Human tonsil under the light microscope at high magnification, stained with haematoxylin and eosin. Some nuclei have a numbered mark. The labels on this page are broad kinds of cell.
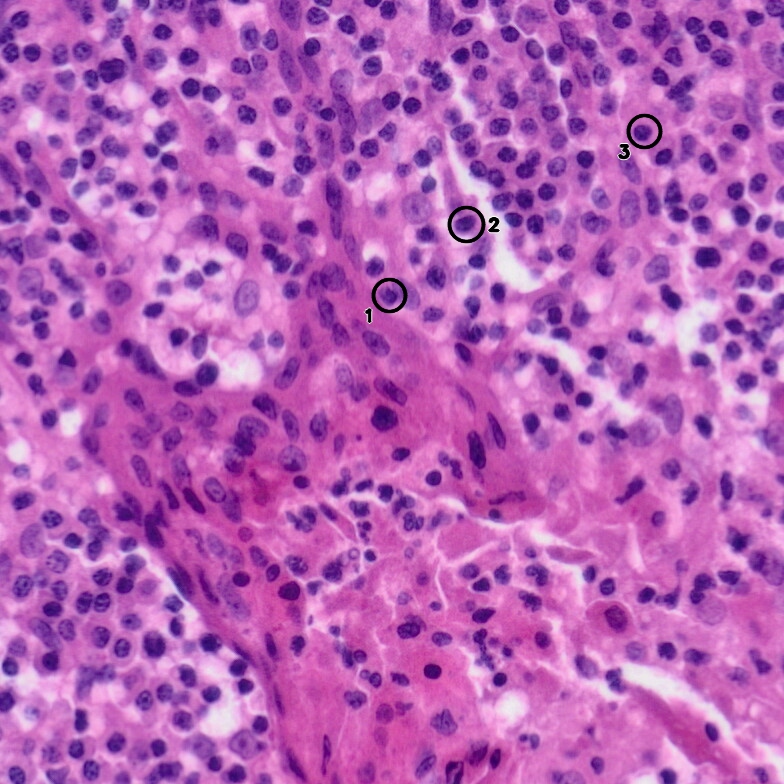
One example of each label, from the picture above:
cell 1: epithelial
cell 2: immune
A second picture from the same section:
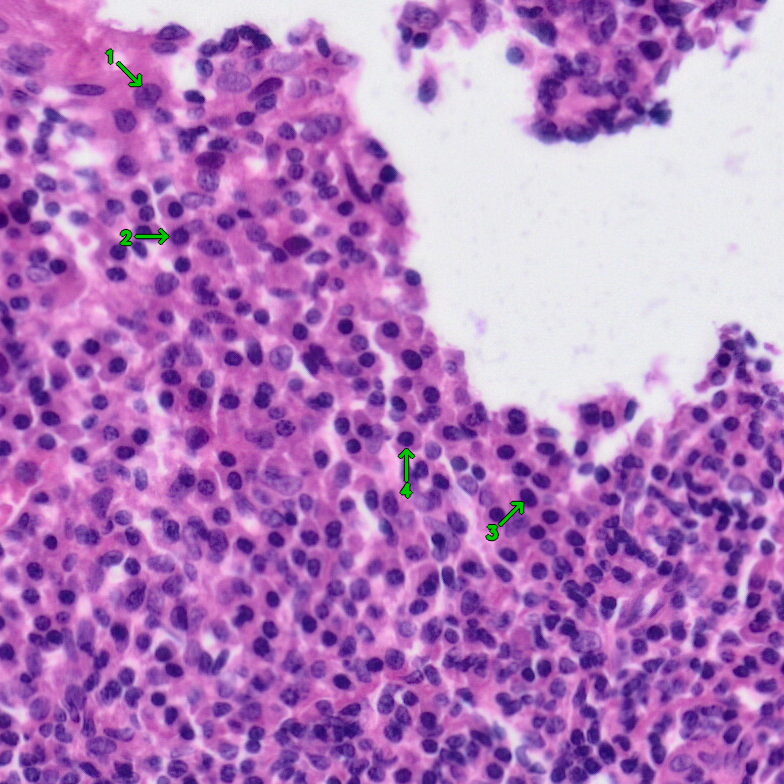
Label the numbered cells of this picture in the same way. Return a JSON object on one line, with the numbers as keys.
{"1": "epithelial", "2": "immune", "3": "immune", "4": "immune"}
